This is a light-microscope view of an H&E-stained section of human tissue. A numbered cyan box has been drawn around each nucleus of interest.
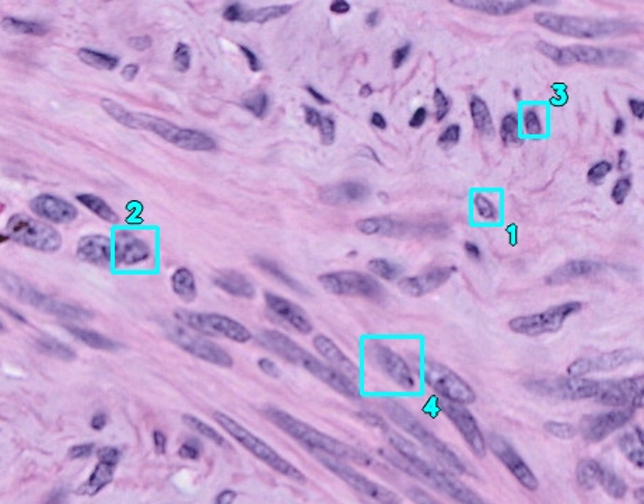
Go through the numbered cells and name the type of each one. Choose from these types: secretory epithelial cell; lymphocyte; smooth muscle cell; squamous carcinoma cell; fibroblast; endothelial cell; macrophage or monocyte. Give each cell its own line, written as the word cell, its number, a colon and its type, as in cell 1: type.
cell 1: smooth muscle cell
cell 2: endothelial cell
cell 3: smooth muscle cell
cell 4: smooth muscle cell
